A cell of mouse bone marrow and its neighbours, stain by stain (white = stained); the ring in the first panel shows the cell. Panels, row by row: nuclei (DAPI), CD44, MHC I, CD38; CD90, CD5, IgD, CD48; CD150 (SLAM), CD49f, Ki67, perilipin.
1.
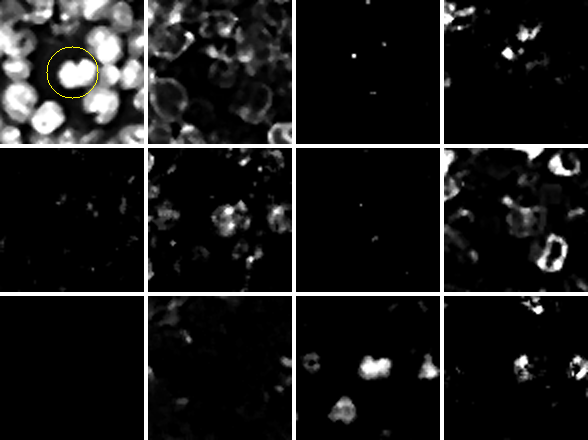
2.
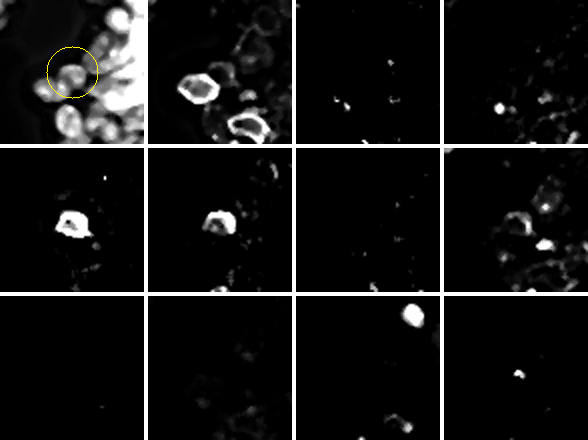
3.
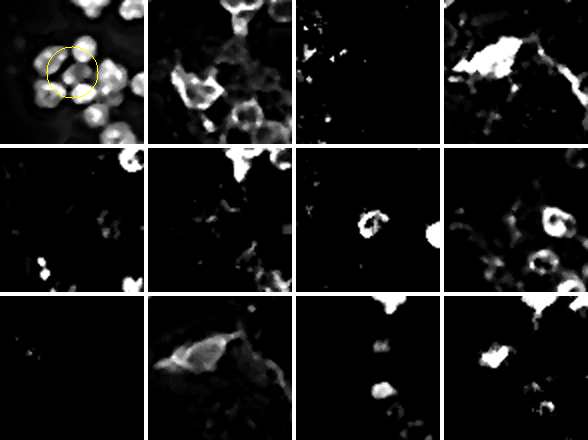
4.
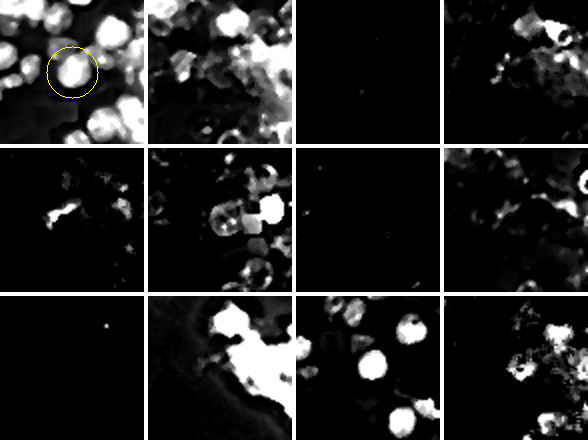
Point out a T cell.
That is picture 2.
